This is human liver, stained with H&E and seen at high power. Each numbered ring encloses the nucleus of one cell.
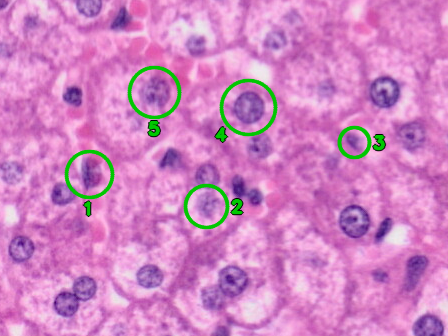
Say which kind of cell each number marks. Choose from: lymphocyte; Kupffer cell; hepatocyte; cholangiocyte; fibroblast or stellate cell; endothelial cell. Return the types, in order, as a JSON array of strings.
["endothelial cell", "hepatocyte", "Kupffer cell", "hepatocyte", "hepatocyte"]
